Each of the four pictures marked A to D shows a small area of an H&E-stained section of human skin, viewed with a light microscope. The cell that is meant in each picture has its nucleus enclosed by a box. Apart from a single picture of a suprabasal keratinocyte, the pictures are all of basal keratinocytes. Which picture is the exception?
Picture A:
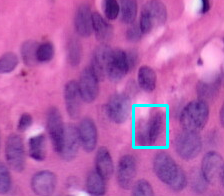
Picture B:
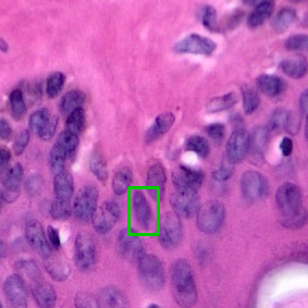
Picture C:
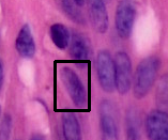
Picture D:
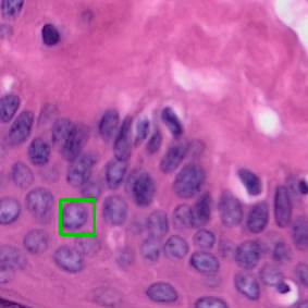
D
